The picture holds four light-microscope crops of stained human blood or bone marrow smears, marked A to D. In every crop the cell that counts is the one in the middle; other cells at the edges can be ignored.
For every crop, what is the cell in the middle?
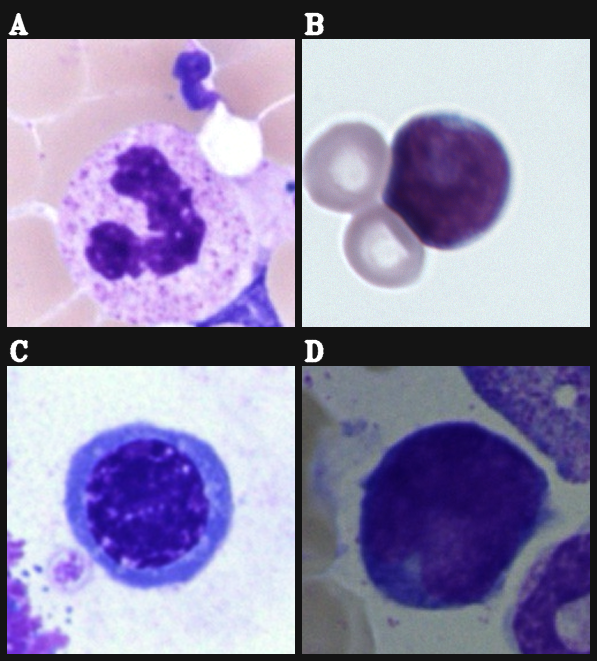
A: segmented neutrophil
B: blast
C: erythroblast
D: blast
